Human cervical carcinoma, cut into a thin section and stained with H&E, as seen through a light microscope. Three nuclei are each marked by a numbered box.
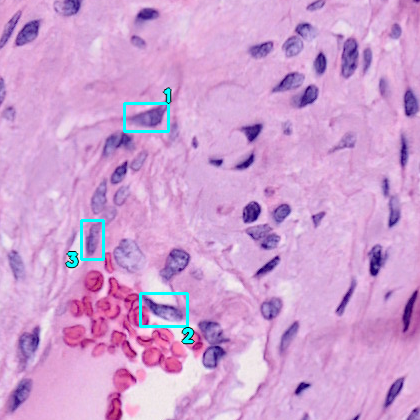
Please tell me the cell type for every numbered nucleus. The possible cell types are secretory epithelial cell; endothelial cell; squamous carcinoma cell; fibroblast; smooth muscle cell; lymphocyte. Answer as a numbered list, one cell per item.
1. smooth muscle cell
2. endothelial cell
3. endothelial cell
